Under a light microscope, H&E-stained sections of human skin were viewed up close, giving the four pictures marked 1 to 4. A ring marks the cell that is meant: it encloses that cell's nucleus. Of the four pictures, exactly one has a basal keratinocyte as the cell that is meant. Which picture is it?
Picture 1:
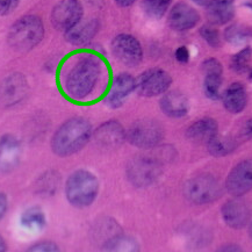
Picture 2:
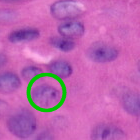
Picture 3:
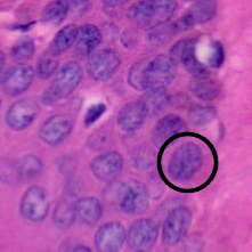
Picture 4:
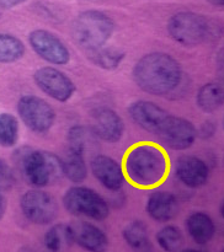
3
